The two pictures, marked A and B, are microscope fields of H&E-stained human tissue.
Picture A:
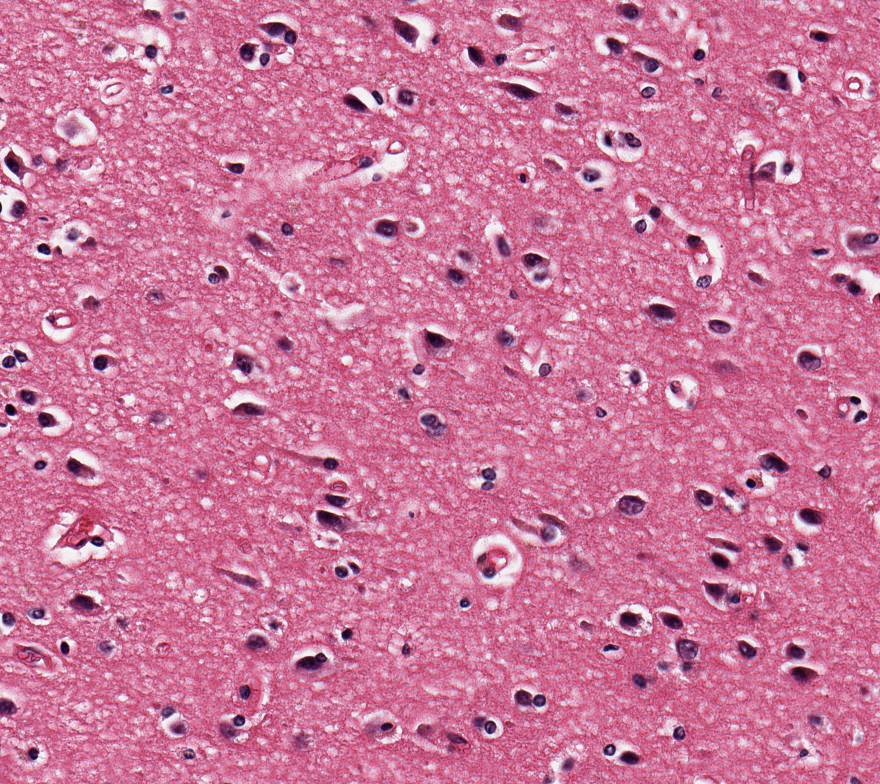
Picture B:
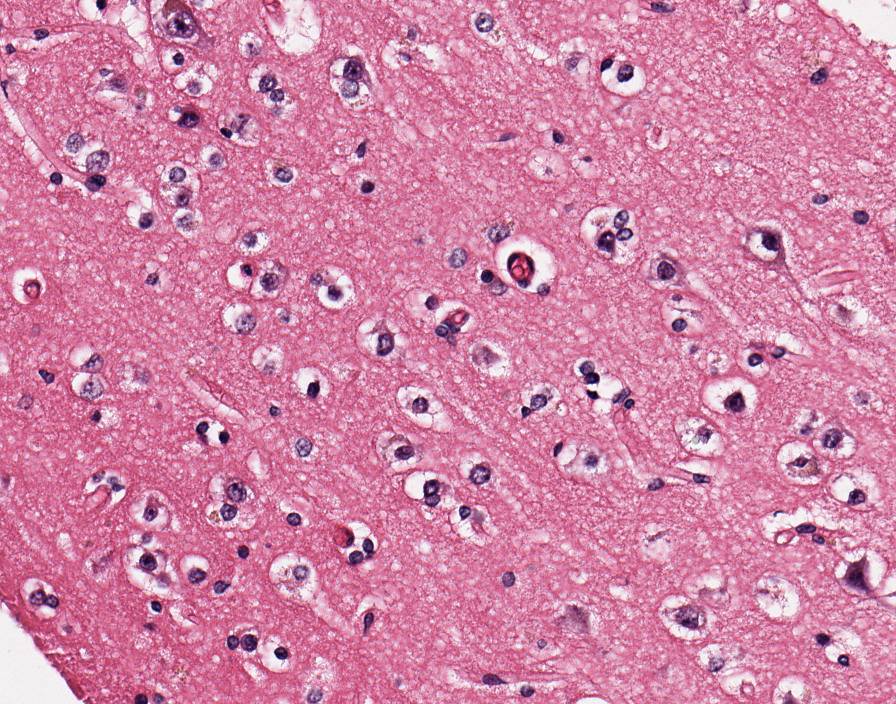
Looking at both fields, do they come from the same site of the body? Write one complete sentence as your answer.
Yes; both pictures come from the cerebral cortex.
